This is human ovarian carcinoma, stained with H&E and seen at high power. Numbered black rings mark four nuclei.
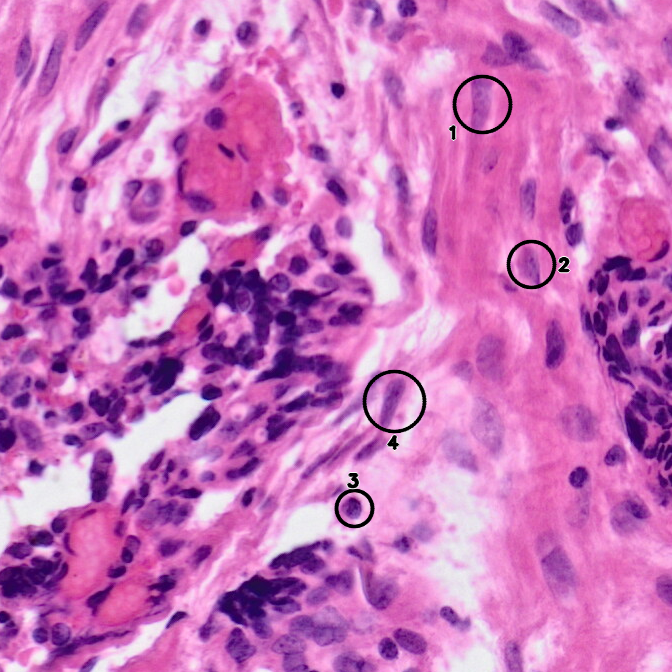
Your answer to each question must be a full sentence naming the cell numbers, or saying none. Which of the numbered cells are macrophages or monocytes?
Cell 3 is a macrophage or monocyte, whereas each of the other numbered cells is not.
